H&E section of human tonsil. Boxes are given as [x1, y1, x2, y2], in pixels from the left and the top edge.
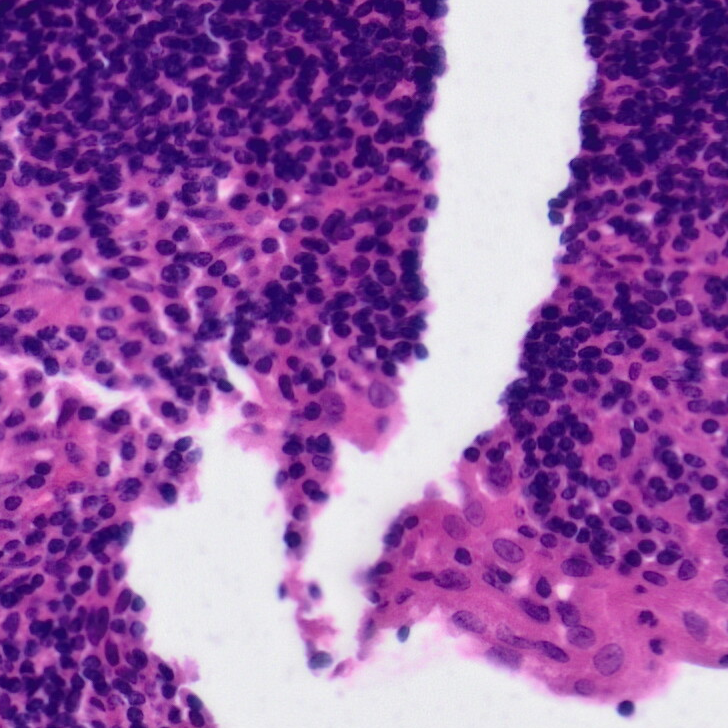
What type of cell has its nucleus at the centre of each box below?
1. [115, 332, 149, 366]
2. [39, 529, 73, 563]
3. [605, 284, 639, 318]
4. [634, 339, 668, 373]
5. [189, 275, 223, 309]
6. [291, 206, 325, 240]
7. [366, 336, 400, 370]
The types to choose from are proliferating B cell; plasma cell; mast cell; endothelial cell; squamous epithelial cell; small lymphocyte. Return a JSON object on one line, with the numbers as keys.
{"1": "plasma cell", "2": "small lymphocyte", "3": "small lymphocyte", "4": "plasma cell", "5": "plasma cell", "6": "plasma cell", "7": "small lymphocyte"}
